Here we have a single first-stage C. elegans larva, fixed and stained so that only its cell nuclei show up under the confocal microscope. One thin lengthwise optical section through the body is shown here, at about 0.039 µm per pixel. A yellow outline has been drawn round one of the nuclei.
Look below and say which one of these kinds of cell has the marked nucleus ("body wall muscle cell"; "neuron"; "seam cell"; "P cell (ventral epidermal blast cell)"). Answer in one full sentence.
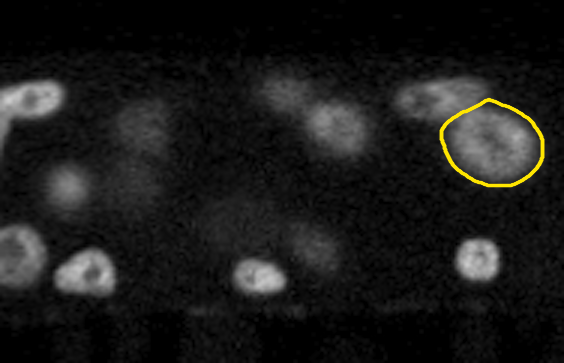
The marked nucleus is that of a seam cell.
